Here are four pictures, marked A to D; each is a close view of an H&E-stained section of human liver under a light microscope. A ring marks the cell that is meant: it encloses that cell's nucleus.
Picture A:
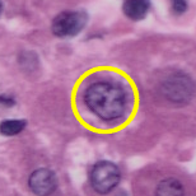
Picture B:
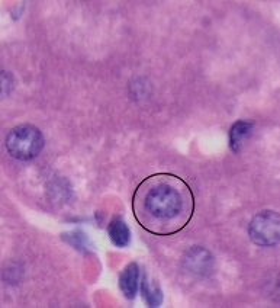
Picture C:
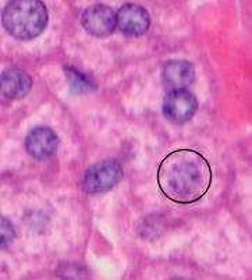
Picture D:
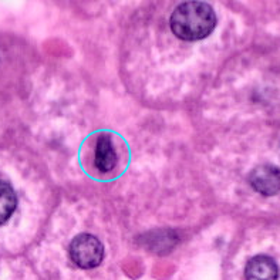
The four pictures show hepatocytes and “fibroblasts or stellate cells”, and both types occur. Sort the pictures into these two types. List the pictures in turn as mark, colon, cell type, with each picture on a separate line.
A: hepatocyte
B: hepatocyte
C: hepatocyte
D: fibroblast or stellate cell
